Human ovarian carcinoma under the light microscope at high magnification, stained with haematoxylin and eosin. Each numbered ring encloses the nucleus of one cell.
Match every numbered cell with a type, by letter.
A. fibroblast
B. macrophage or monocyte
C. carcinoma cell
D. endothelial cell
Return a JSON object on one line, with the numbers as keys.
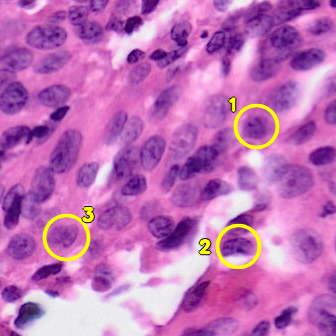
{"1": "C", "2": "B", "3": "C"}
